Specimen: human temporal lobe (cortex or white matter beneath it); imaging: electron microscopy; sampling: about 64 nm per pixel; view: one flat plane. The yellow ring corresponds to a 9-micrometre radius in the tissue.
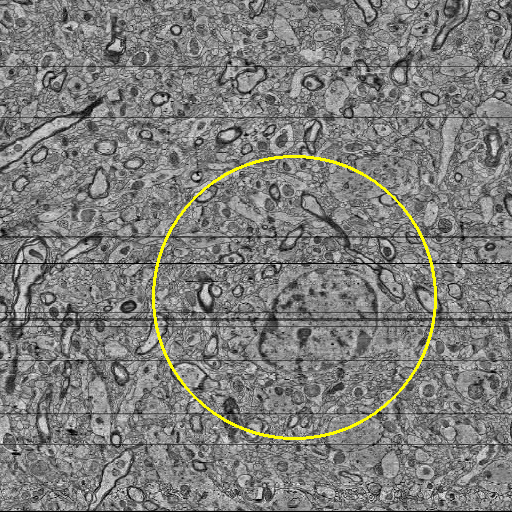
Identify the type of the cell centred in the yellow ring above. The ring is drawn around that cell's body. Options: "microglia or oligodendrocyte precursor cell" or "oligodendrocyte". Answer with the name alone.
microglia or oligodendrocyte precursor cell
